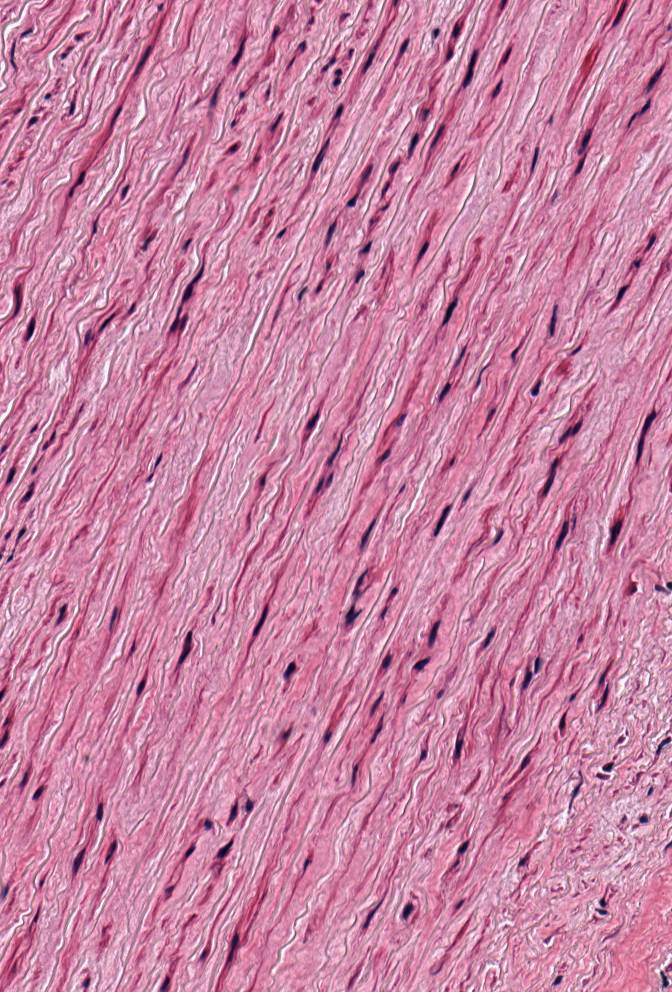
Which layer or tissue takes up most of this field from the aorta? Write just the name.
tunica media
